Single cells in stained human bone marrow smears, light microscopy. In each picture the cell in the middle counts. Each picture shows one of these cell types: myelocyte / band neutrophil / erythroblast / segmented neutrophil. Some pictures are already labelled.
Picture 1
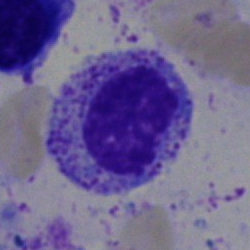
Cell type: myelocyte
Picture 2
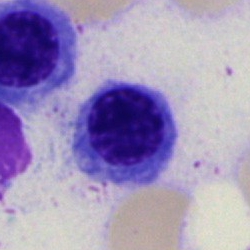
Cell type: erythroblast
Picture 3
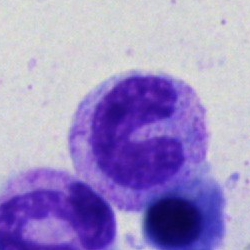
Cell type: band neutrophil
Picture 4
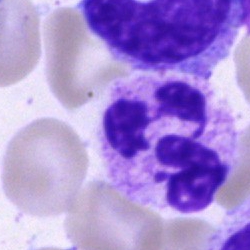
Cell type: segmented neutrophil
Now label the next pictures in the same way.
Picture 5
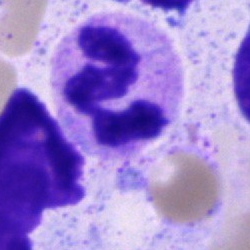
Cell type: segmented neutrophil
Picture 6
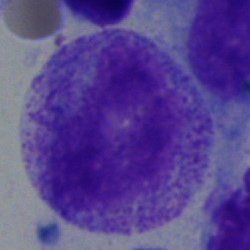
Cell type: myelocyte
